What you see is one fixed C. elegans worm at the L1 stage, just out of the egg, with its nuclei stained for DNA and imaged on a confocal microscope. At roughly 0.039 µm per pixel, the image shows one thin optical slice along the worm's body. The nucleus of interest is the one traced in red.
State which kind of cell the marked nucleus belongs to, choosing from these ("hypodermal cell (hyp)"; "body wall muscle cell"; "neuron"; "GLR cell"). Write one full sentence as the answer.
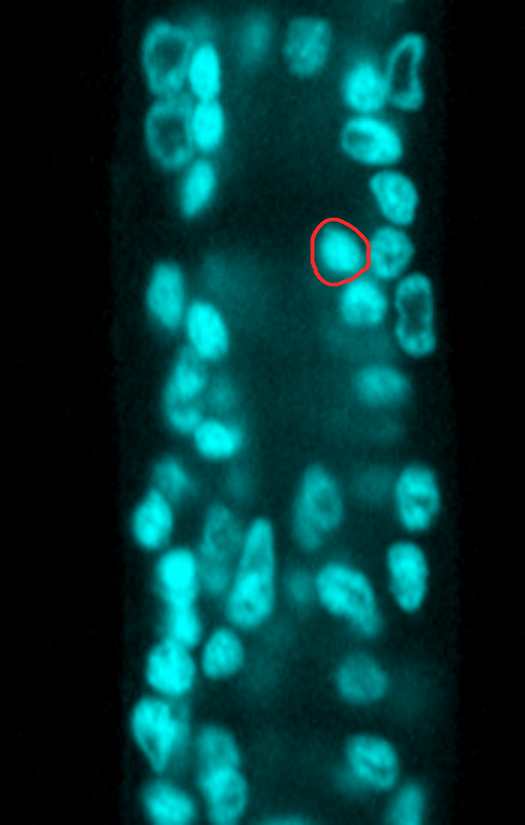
The marked nucleus is that of a GLR cell.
